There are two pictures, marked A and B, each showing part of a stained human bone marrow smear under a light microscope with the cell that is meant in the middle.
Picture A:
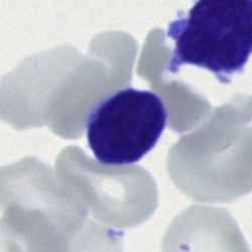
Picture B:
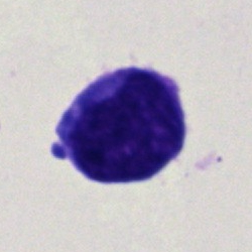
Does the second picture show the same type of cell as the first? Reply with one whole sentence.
No; the cell in picture A is a lymphocyte, while the one in picture B is a blast.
